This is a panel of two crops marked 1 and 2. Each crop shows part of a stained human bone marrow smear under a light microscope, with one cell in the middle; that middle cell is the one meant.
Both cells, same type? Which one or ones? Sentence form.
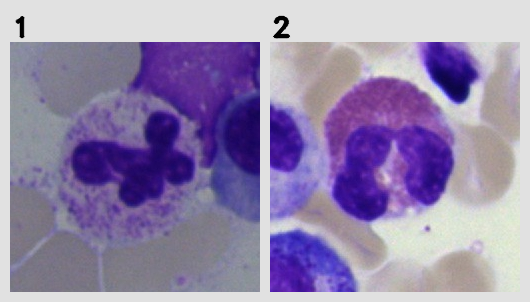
No, in crop 1 there is a segmented neutrophil, and in crop 2 there is an eosinophil.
